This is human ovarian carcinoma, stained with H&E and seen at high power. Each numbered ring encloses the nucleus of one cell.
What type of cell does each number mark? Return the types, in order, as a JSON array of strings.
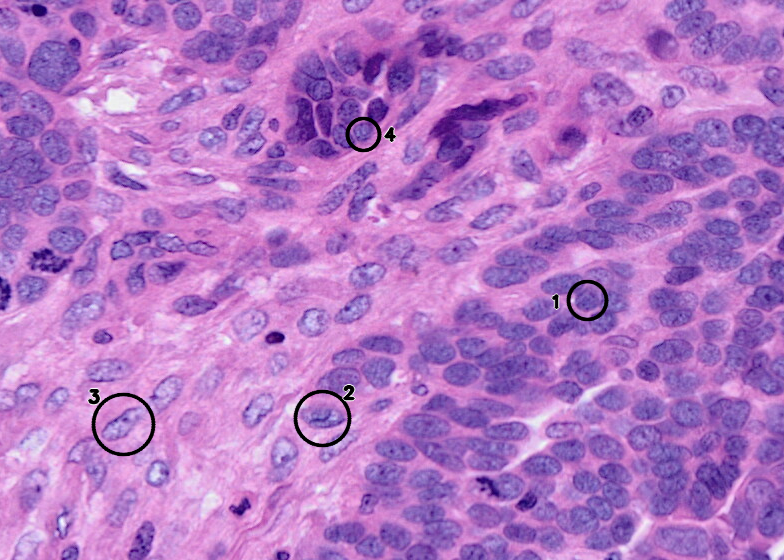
["carcinoma cell", "fibroblast", "fibroblast", "carcinoma cell"]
